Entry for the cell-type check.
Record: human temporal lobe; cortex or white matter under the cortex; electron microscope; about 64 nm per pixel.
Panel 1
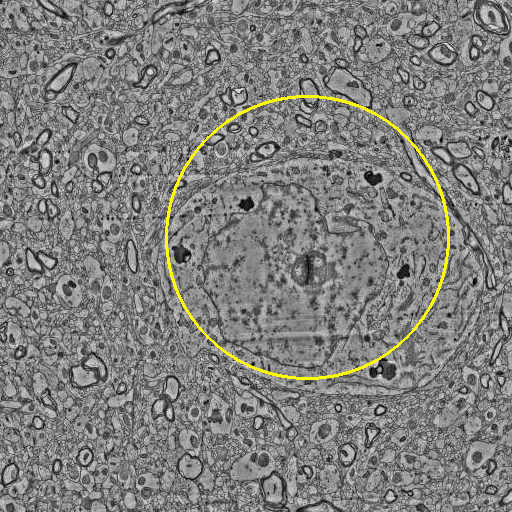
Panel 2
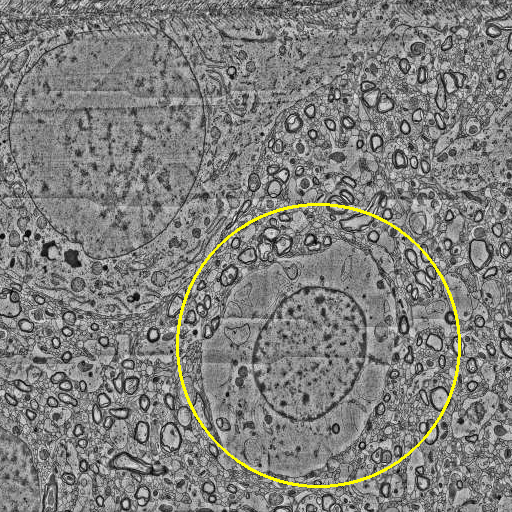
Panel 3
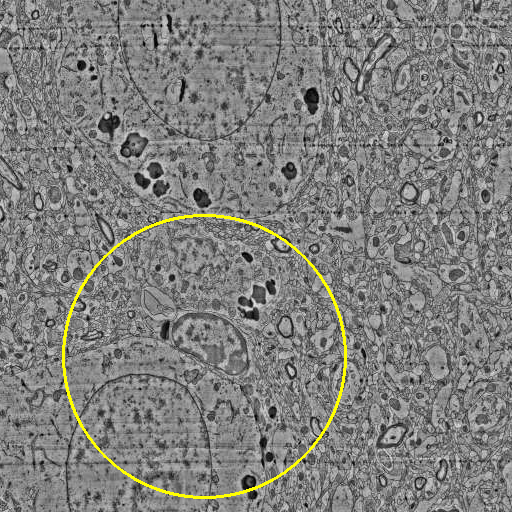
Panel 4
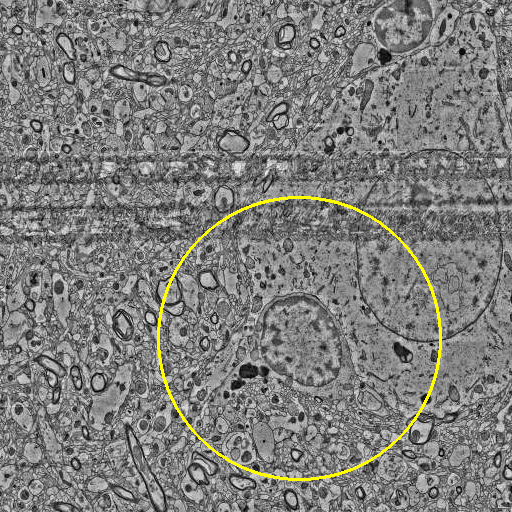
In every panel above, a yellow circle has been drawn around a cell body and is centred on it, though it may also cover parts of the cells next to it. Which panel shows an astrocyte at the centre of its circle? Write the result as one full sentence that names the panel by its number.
Panel 2 shows it at the centre of its circle.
